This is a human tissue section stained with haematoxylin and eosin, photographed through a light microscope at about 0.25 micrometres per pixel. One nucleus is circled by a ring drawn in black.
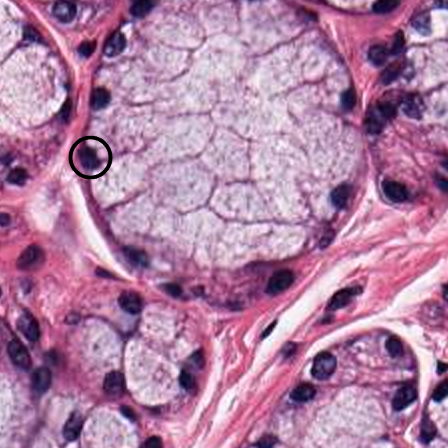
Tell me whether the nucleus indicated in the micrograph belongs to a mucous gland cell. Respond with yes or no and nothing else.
yes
